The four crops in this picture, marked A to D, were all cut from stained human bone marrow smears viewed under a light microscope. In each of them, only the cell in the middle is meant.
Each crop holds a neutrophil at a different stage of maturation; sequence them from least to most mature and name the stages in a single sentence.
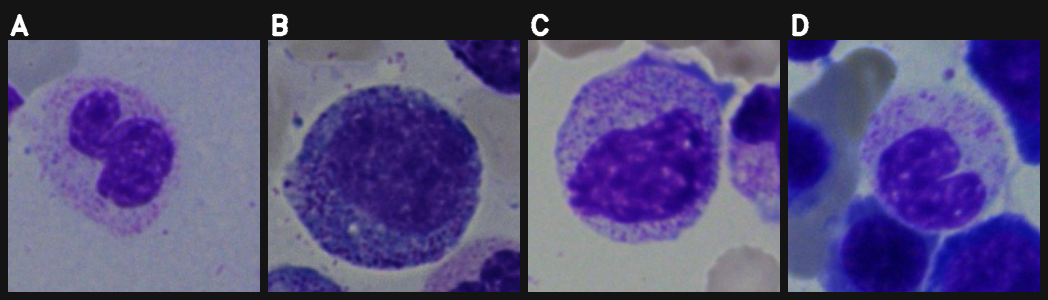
The maturation order of the crops, earliest to latest, is crop B (a promyelocyte), crop C (a myelocyte), crop D (a band neutrophil) and crop A (a segmented neutrophil).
